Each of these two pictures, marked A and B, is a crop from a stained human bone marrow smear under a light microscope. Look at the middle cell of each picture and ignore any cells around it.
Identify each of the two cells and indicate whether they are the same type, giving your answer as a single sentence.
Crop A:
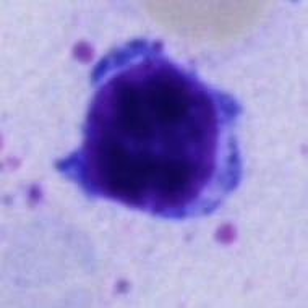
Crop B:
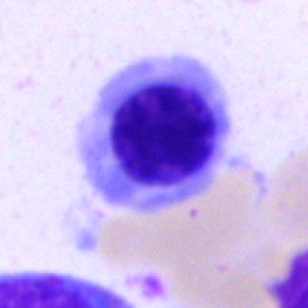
No, the cell at the middle of crop A is a lymphocyte, while crop B centres on a normoblast.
